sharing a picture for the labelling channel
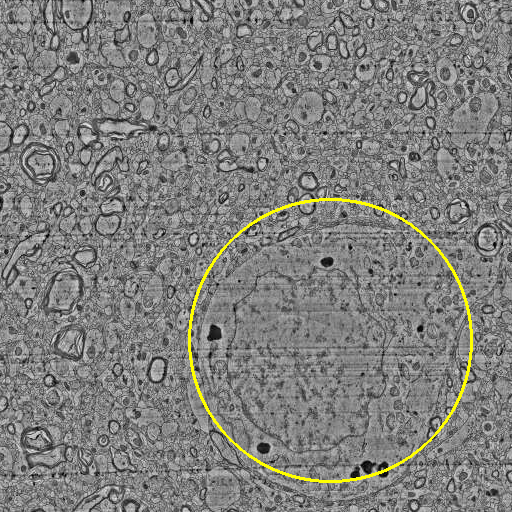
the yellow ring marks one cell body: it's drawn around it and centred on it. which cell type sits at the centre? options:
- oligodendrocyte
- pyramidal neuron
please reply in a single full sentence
In the picture, the cell at the ring's centre is a pyramidal neuron, going by the list.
